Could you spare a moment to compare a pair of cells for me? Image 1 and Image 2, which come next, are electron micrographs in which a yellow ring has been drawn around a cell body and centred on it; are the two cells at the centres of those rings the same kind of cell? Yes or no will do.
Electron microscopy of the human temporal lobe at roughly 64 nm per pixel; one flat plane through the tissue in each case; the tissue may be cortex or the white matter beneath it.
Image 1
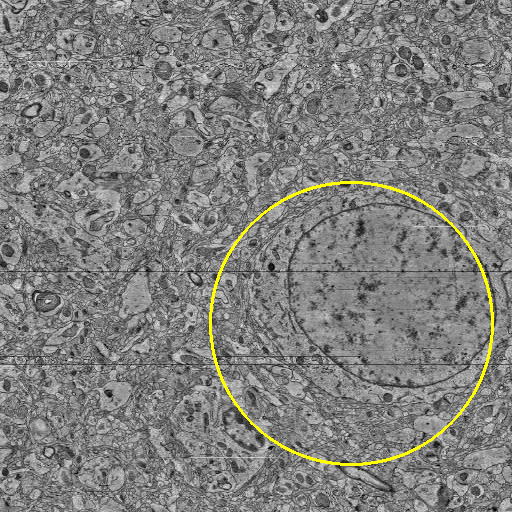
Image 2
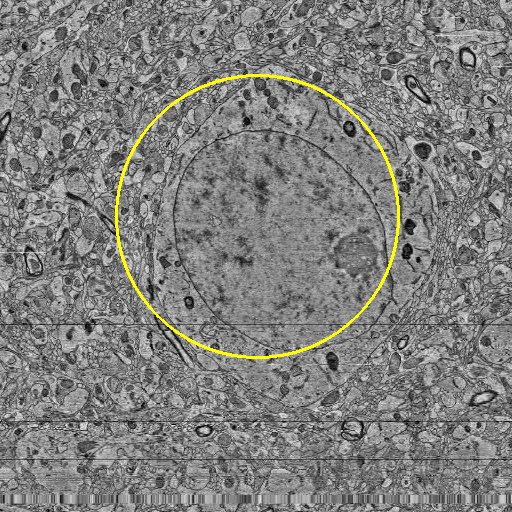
yes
